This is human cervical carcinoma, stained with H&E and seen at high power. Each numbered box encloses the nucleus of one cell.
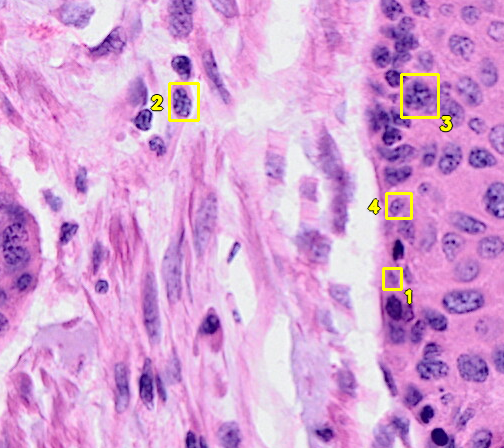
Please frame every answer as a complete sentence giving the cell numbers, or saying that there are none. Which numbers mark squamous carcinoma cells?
The cells numbered 1, 3 and 4 are typed as squamous carcinoma cells.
